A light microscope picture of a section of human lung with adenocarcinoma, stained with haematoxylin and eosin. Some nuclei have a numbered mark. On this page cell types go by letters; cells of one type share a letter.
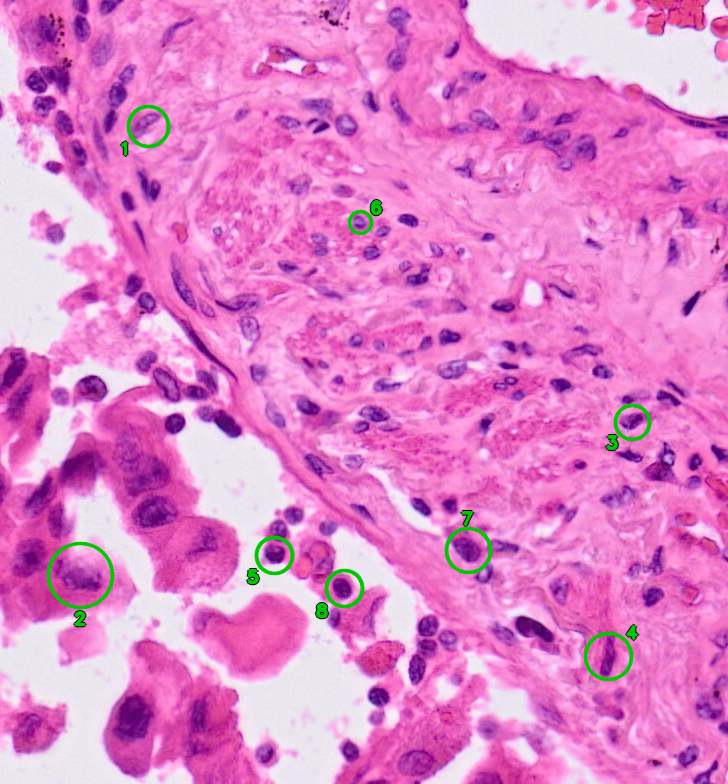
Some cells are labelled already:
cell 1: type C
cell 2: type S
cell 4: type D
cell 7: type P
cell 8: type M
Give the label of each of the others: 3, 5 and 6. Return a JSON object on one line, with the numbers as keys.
{"3": "type P", "5": "type M", "6": "type D"}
